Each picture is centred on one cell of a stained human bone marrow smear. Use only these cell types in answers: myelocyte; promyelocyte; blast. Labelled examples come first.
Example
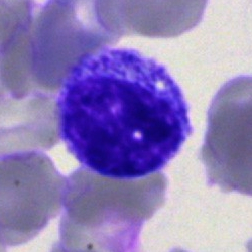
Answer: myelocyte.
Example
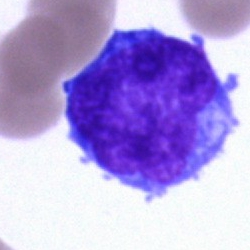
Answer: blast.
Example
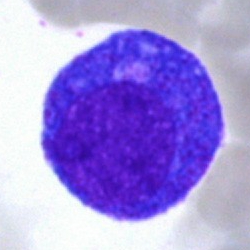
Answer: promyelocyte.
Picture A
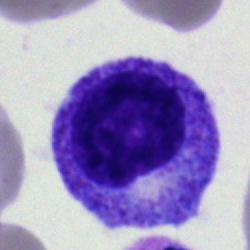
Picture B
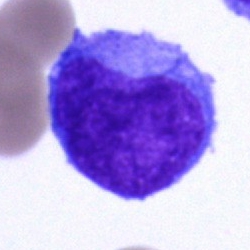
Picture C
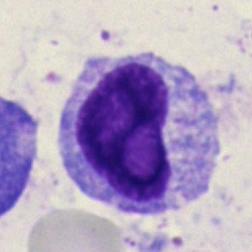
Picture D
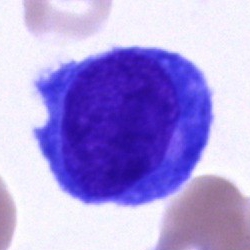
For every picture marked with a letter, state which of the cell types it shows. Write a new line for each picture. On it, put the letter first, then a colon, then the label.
A: promyelocyte.
B: blast.
C: myelocyte.
D: blast.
